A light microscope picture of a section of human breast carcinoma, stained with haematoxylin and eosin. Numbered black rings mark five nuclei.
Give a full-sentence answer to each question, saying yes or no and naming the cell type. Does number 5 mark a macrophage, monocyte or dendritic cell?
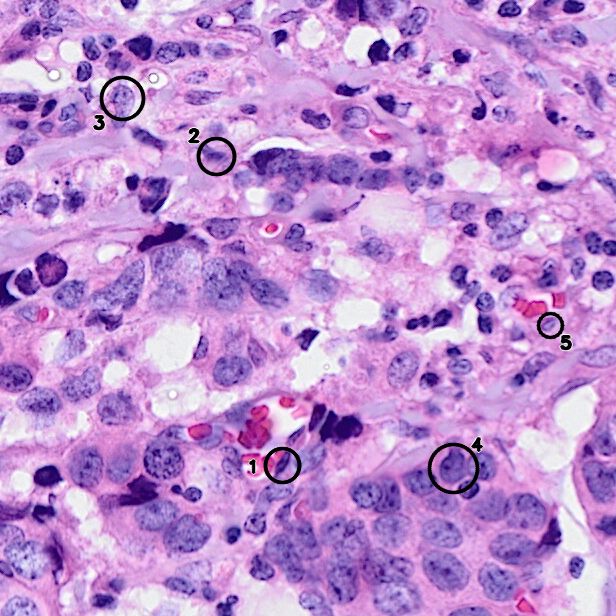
No, cell 5 is identified not as a macrophage, monocyte or dendritic cell but as an endothelial cell.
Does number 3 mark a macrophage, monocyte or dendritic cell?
Yes, the cell labelled with number 3 is a macrophage, monocyte or dendritic cell.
